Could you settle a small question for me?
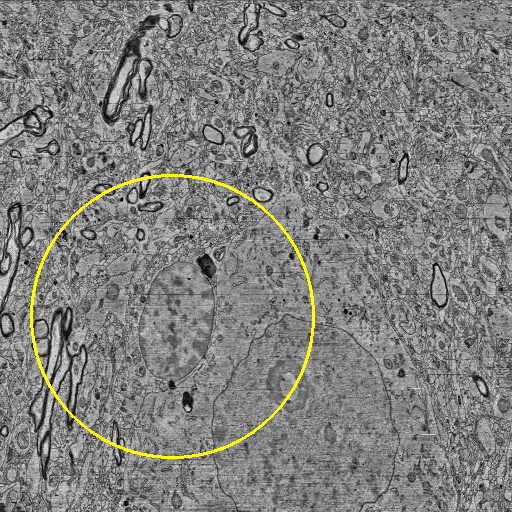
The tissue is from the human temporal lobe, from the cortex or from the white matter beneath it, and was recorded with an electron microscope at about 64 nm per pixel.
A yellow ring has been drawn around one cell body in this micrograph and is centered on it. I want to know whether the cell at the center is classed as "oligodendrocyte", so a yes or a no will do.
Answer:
yes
